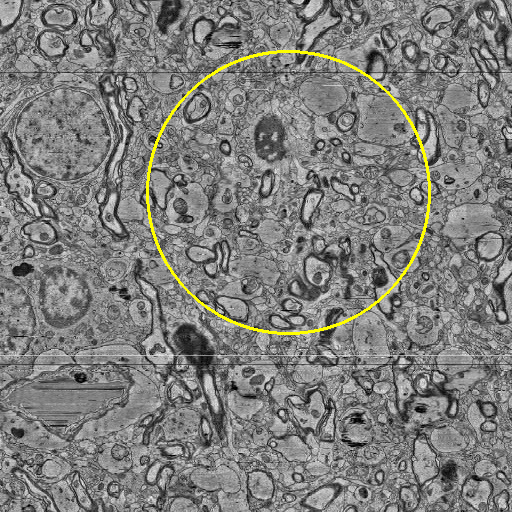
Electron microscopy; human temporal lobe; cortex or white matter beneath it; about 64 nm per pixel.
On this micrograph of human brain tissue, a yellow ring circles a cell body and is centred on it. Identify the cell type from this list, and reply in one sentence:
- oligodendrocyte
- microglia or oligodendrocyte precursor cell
The cell at the centre is a microglial cell or oligodendrocyte precursor cell.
